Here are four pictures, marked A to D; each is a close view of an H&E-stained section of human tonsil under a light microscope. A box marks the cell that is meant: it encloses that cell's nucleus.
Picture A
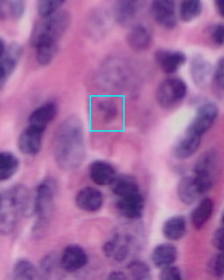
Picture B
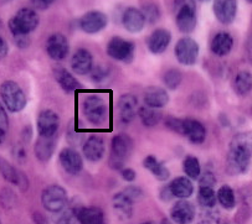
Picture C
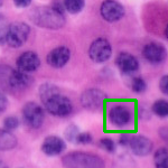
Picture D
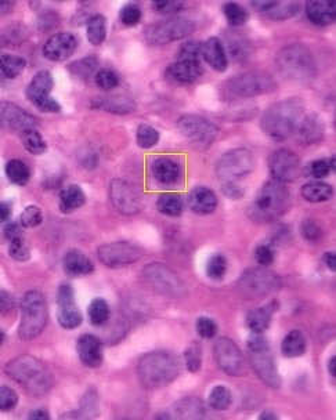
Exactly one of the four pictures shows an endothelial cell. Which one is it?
A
